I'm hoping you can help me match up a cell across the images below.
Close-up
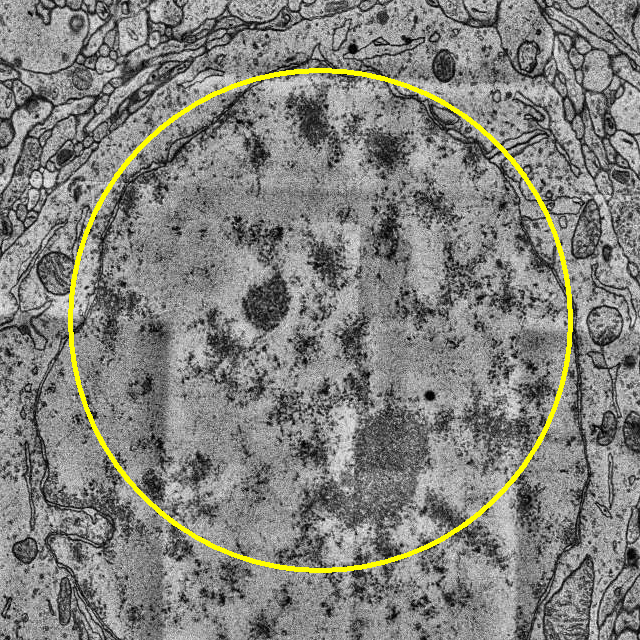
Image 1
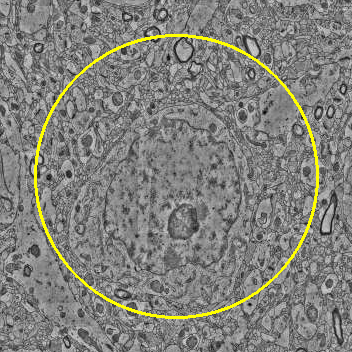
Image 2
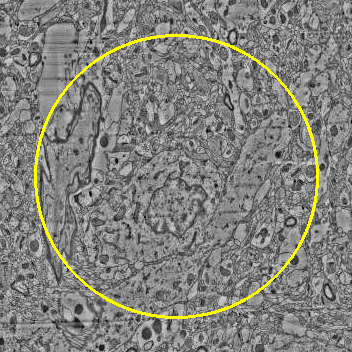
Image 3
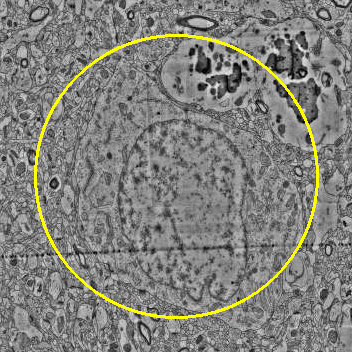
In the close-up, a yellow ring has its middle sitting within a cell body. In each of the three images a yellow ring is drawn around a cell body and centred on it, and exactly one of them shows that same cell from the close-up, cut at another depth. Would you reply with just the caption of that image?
Image 1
